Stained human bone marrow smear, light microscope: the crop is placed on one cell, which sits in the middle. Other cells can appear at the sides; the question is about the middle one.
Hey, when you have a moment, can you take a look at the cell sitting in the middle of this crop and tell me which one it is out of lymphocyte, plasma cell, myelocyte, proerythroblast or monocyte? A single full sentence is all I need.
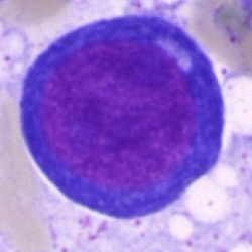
The cell at the middle of the frame should be recorded as a proerythroblast.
